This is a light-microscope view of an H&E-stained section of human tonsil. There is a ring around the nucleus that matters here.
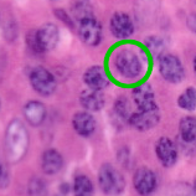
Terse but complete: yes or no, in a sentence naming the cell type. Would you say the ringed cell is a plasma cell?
Yes, it is as a plasma cell that the ringed cell is classified.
